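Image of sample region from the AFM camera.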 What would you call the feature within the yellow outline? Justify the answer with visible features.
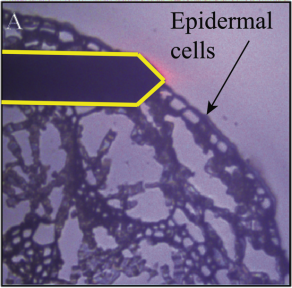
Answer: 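A dark, flat, pointed object outlined in yellow enters from the left edge. Its pointed end touches the outer rim of the tissue section. On this evidence: cantilever tip.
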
